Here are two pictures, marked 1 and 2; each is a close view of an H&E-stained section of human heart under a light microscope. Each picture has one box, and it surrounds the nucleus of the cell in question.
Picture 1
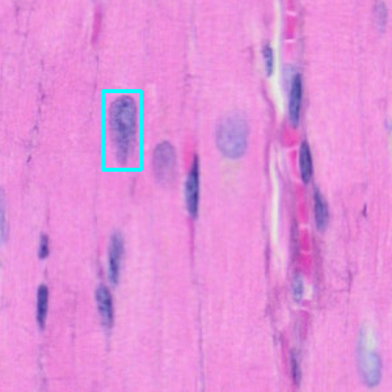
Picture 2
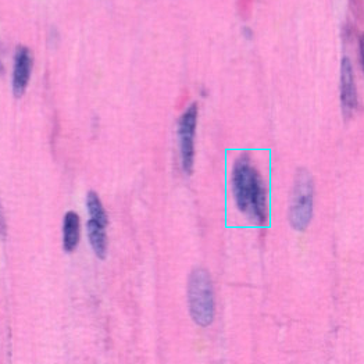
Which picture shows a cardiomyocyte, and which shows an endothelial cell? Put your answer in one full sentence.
The cell in picture 1 is a cardiomyocyte, and the one in picture 2 is an endothelial cell.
